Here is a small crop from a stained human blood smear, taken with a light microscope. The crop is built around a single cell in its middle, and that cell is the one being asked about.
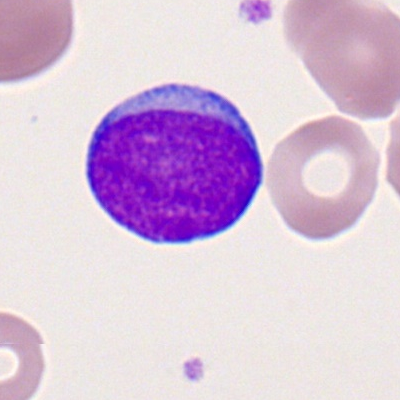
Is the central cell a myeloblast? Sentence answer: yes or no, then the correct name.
Yes, this central cell is a myeloblast.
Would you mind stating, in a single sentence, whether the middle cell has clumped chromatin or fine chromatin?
Coarse clumps are absent, and the chromatin is fine throughout.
